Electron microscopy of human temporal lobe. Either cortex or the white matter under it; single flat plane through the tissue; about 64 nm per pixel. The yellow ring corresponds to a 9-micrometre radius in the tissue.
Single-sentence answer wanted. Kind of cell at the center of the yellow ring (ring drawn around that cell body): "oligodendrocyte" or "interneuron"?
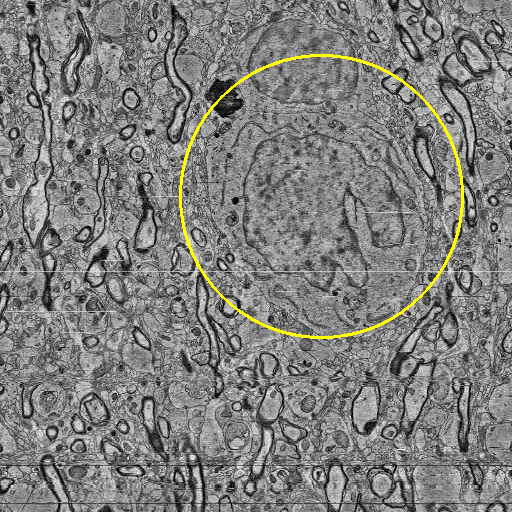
The cell centered in the ring is an interneuron.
